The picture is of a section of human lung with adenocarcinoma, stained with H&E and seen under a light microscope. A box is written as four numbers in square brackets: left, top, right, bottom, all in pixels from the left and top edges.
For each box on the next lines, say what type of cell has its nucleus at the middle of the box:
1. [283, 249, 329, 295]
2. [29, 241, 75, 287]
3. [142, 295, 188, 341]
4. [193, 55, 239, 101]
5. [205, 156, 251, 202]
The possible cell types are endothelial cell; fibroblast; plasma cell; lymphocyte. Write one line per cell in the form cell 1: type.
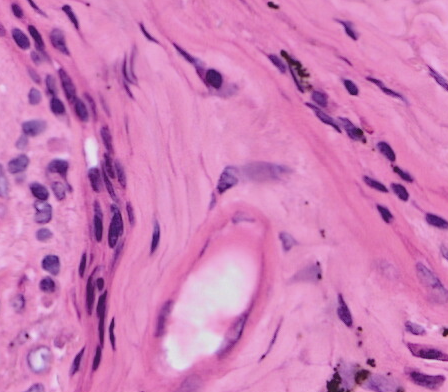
cell 1: fibroblast
cell 2: lymphocyte
cell 3: endothelial cell
cell 4: plasma cell
cell 5: fibroblast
